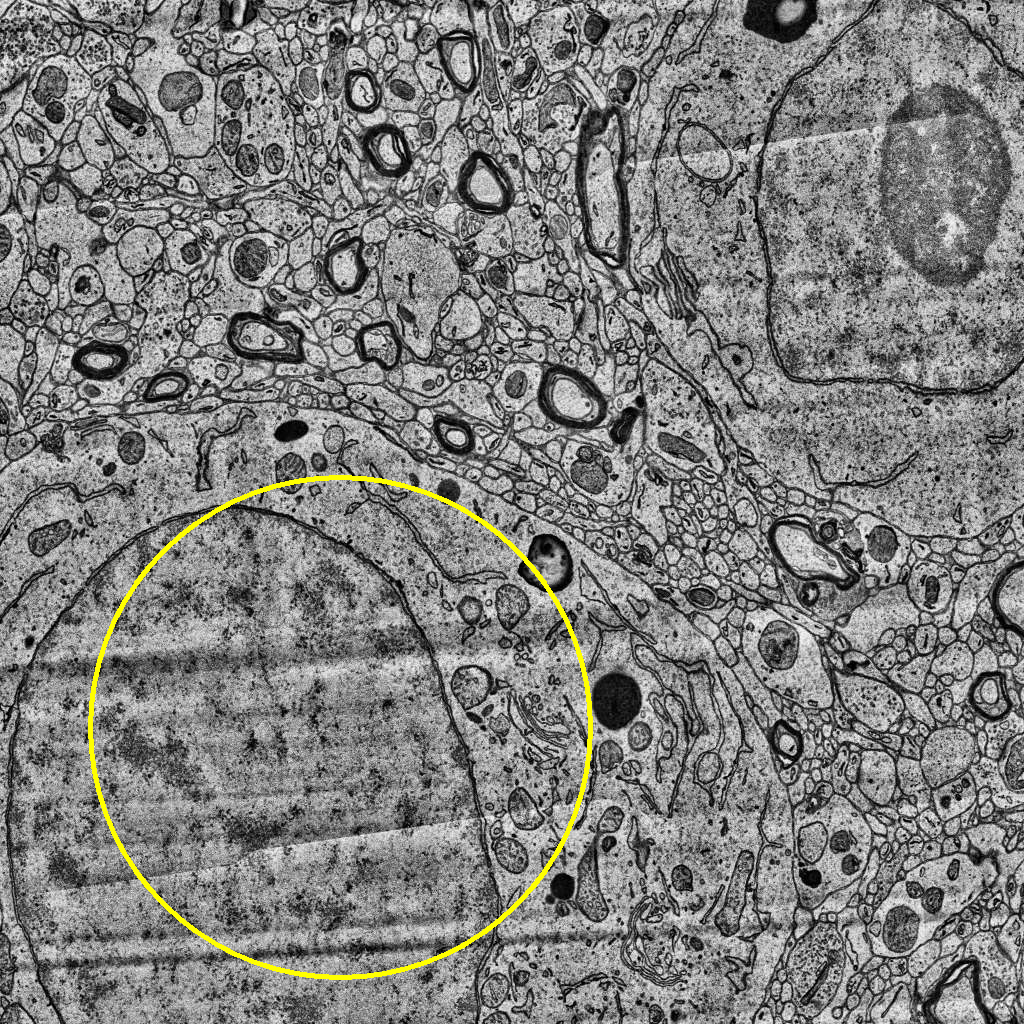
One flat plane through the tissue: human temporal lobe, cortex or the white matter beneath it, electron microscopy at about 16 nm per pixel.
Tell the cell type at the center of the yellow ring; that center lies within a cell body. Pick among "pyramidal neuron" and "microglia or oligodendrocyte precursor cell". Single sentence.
The ring's center lies in the body of a pyramidal neuron.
